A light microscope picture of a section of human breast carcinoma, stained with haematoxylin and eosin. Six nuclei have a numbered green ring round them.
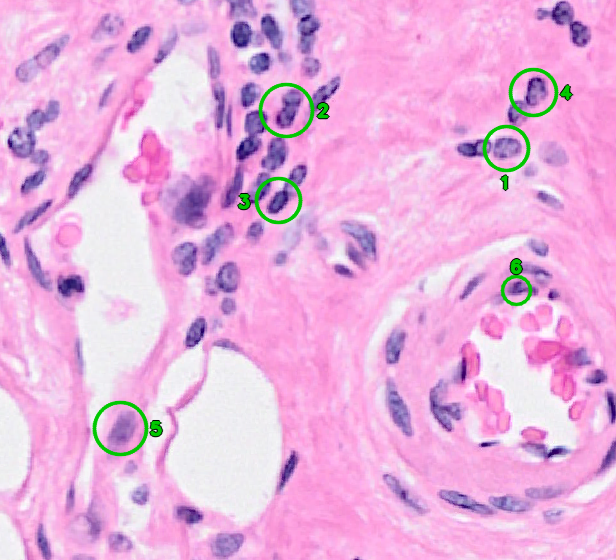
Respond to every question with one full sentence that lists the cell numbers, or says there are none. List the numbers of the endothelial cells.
The cells numbered 5 and 6 fall into the category of endothelial cells.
